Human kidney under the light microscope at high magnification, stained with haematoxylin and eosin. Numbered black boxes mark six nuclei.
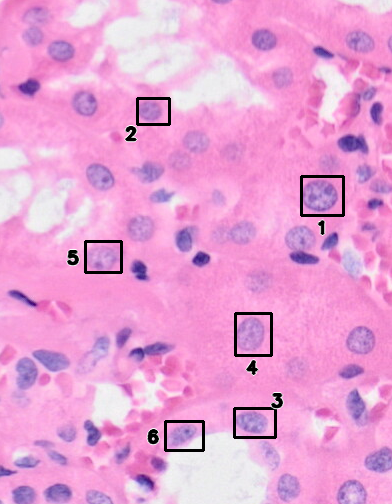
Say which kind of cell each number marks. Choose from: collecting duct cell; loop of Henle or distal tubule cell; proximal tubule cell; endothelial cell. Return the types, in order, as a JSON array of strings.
["proximal tubule cell", "proximal tubule cell", "loop of Henle or distal tubule cell", "proximal tubule cell", "proximal tubule cell", "loop of Henle or distal tubule cell"]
